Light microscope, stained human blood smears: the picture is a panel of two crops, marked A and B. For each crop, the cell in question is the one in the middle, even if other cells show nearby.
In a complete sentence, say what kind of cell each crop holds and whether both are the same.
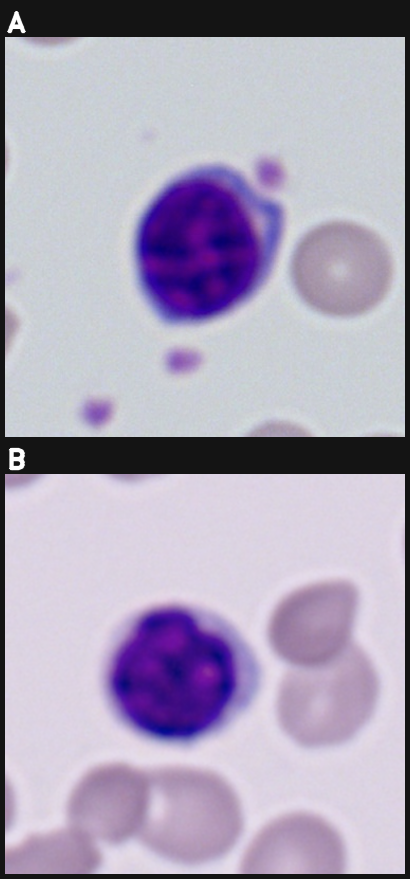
Yes, in both crops the centred cells are lymphocytes.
